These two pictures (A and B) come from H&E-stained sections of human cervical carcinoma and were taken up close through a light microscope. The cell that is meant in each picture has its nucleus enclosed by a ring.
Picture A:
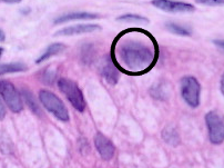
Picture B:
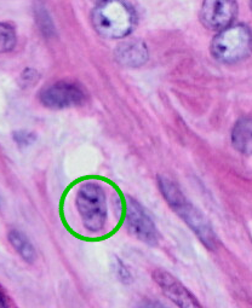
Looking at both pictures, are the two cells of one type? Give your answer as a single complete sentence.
No, they differ: the cell is a secretory epithelial cell in picture A and a “macrophage or monocyte” in picture B.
